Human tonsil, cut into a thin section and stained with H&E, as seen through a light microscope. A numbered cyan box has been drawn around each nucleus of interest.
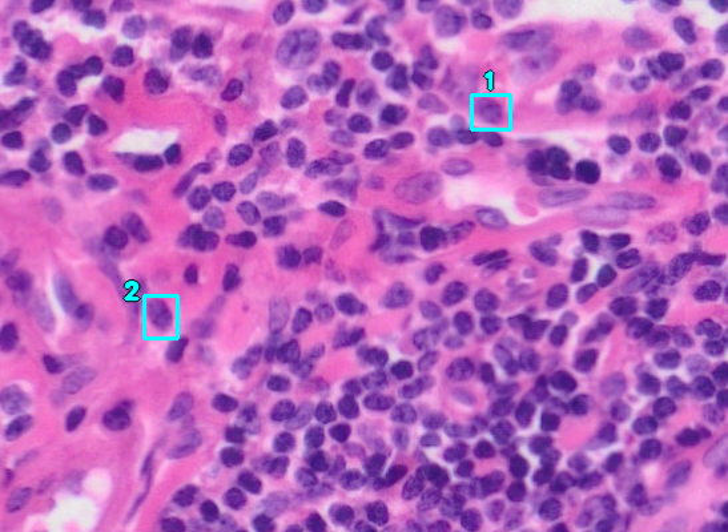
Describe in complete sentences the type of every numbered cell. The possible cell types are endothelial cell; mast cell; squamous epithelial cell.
Cell 1 is an endothelial cell. Cell 2 is a mast cell.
